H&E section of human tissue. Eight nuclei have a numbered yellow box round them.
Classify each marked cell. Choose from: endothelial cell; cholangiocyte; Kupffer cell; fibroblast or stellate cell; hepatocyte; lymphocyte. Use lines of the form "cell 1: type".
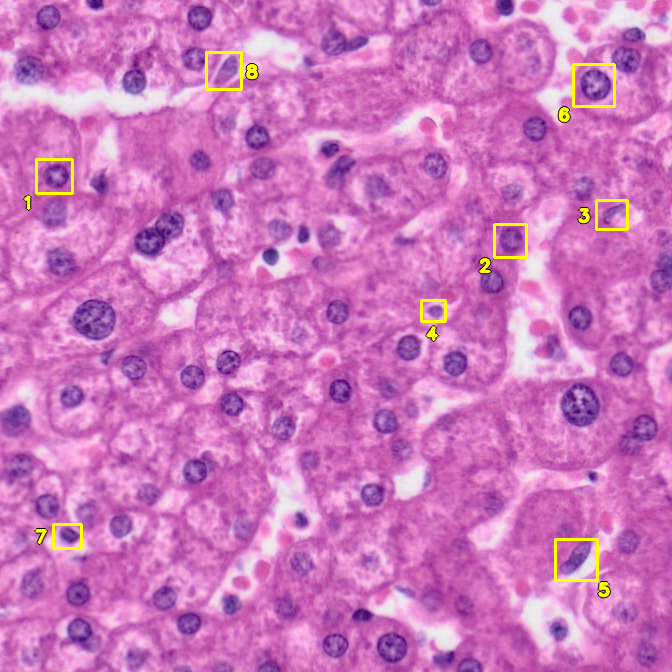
cell 1: hepatocyte
cell 2: hepatocyte
cell 3: endothelial cell
cell 4: lymphocyte
cell 5: Kupffer cell
cell 6: hepatocyte
cell 7: Kupffer cell
cell 8: Kupffer cell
